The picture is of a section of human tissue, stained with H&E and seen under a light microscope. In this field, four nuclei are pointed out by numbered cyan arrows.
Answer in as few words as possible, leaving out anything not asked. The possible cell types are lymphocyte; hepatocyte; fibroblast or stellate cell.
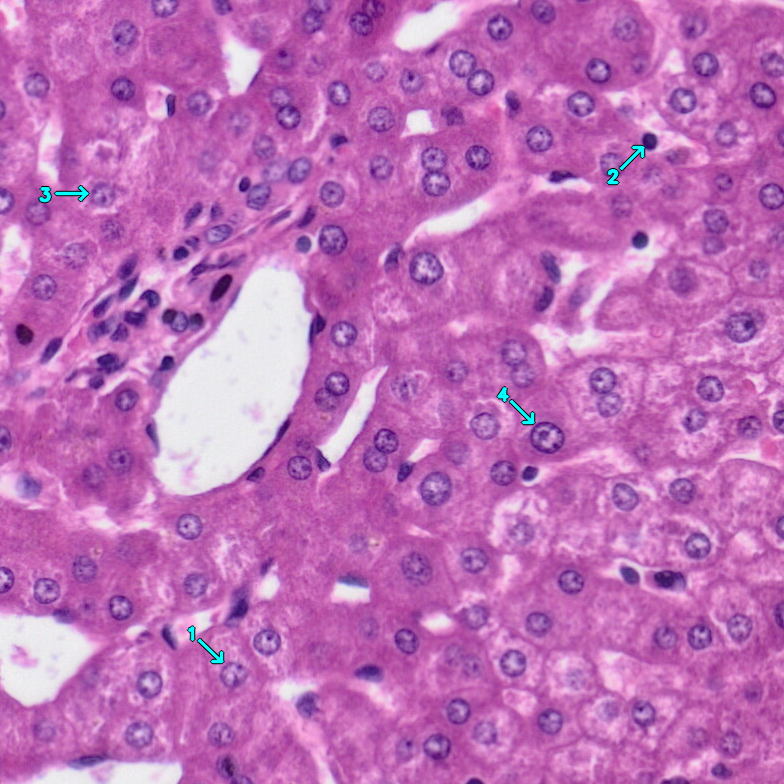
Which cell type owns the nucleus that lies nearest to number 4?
lymphocyte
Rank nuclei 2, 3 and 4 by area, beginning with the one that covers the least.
2, 3, 4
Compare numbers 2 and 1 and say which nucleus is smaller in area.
2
